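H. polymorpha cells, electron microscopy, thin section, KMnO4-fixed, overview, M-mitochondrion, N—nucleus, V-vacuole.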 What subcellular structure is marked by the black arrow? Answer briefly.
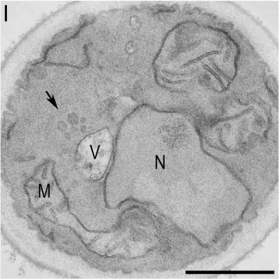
Clusters of small peroxisomes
